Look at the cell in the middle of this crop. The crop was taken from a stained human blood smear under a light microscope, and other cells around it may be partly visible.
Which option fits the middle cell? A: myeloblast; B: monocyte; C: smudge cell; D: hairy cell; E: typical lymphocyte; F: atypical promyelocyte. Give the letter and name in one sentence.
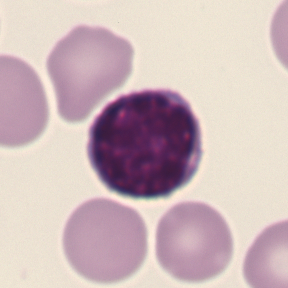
According to option E, which is correct, the cell in the middle is a typical lymphocyte.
